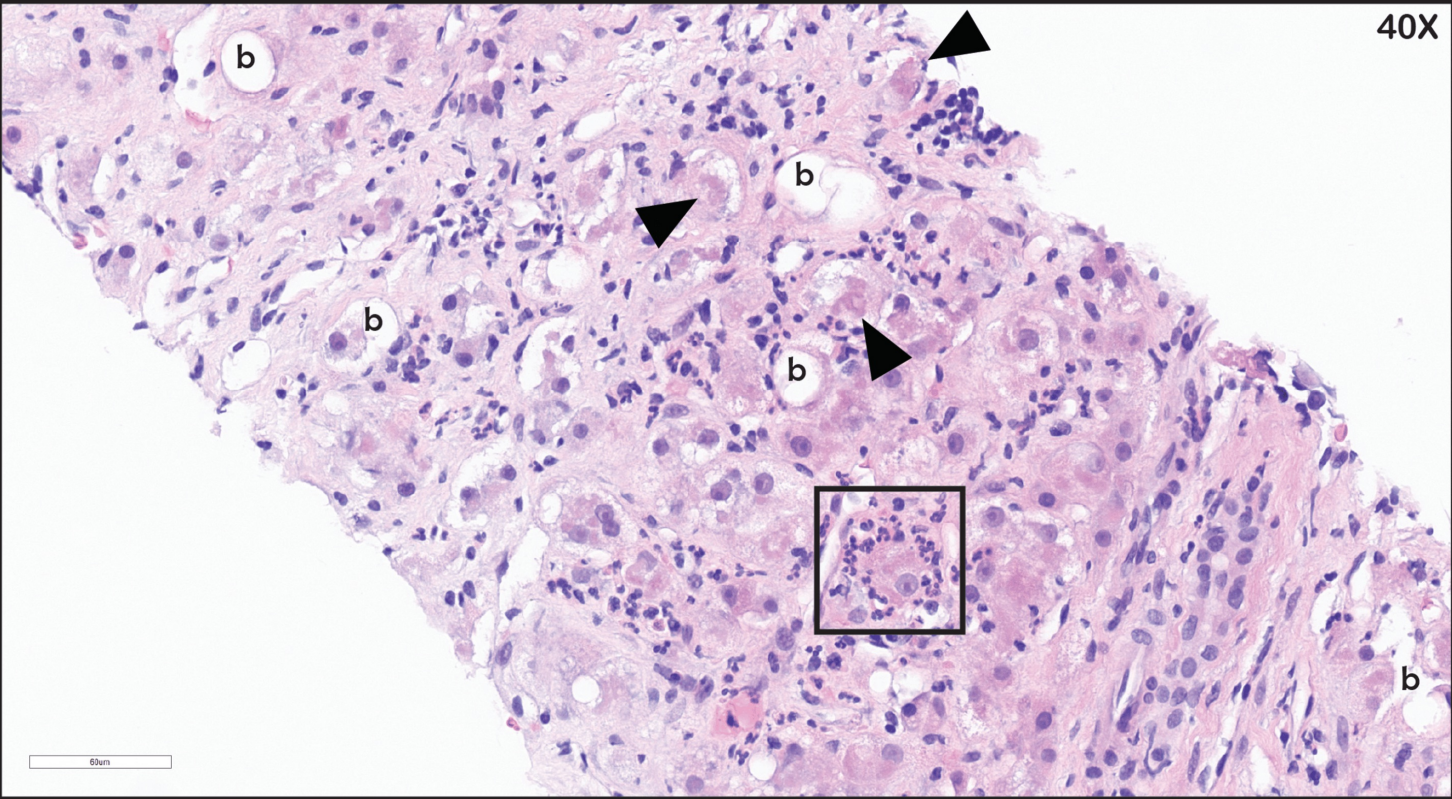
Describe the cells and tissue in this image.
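This is liver tissue in which the hepatocytes are enlarged and disorganised, many with pale, cleared or wispy cytoplasm and round central nuclei. Scattered hepatocytes hold irregular, clumped deep-pink material in their cytoplasm. Clear round spaces of varying size lie among and within the liver cells. Many small inflammatory cells with dark, compact or lobed nuclei are scattered through the tissue, and in one spot they crowd tightly around a single hepatocyte. Pink fibrous strands with elongated nuclei run between the hepatocyte groups, most clearly toward the lower right.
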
